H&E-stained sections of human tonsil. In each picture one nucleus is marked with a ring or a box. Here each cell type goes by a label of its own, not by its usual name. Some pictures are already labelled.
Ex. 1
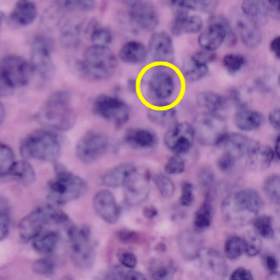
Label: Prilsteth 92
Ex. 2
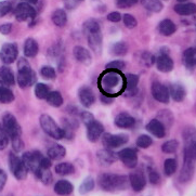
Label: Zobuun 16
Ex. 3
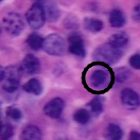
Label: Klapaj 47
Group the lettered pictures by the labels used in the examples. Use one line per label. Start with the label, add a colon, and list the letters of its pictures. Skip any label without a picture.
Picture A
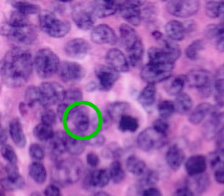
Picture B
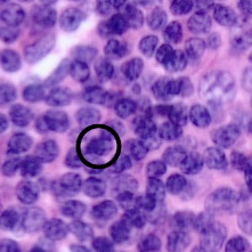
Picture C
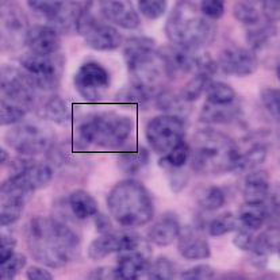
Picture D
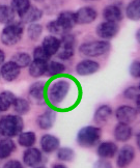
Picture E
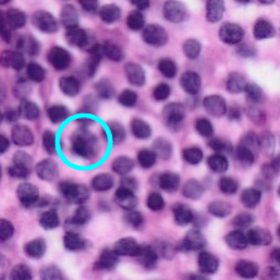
Prilsteth 92: A, C
Zobuun 16: B, D, E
